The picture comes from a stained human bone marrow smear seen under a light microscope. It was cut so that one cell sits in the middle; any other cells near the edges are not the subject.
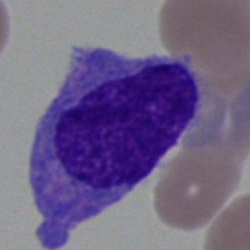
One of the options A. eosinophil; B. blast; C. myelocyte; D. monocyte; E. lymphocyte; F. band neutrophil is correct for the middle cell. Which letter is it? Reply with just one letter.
B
